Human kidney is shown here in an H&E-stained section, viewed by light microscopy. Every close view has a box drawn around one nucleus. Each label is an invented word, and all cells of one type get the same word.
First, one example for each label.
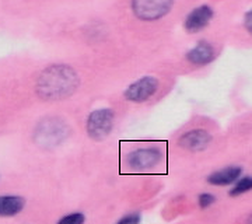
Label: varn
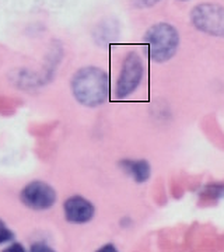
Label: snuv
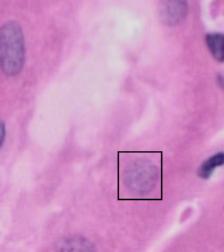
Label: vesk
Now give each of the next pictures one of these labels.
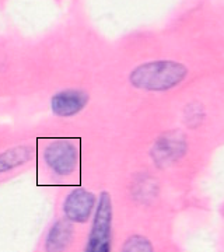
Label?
snuv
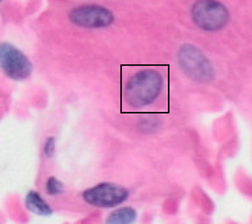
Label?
vesk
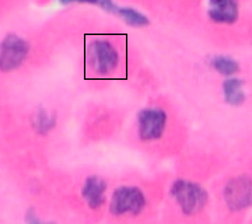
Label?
vesk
